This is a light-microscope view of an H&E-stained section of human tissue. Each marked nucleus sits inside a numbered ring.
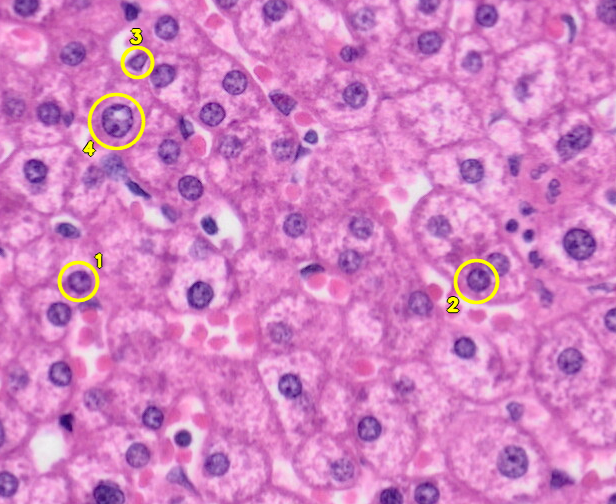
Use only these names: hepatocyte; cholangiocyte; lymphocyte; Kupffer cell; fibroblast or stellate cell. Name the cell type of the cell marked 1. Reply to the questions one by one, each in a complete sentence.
At number 1, the marked cell is a hepatocyte.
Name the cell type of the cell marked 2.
Within this field of view, the cell labelled 2 is a hepatocyte.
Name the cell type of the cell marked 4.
The nucleus marked 4 is the nucleus of a hepatocyte.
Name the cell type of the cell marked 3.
Cell 3 in the field of view is a Kupffer cell.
